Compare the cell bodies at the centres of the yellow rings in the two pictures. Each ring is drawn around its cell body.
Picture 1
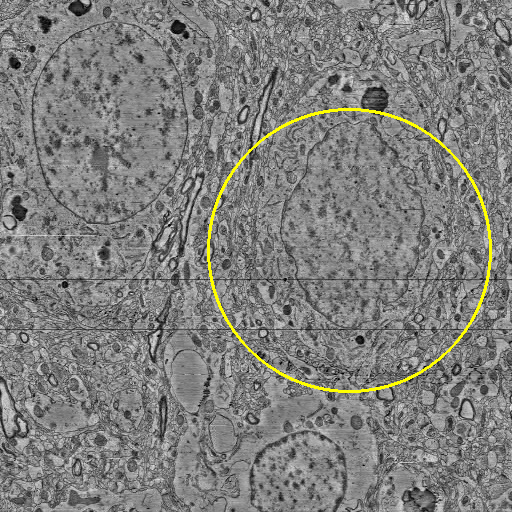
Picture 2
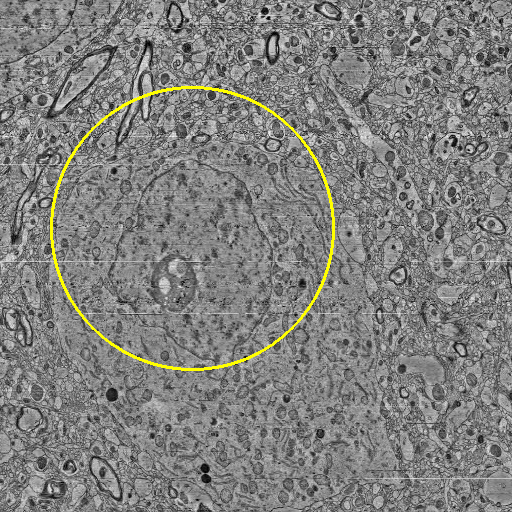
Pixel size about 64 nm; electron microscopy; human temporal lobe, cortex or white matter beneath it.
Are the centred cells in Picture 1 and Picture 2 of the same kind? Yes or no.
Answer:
yes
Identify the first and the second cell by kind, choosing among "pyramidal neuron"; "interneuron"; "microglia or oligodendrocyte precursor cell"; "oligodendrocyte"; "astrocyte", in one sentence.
The cell in the first picture is an interneuron, and so is the one in the second.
